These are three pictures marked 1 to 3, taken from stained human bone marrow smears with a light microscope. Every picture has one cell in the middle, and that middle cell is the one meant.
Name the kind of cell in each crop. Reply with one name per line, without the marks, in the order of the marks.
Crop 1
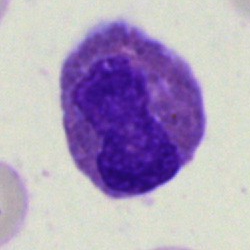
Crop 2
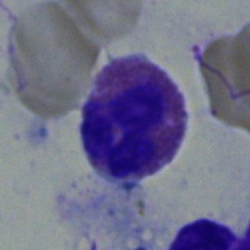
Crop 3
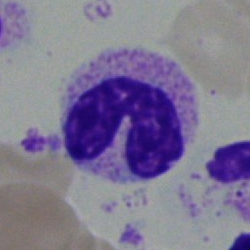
eosinophil
eosinophil
band neutrophil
